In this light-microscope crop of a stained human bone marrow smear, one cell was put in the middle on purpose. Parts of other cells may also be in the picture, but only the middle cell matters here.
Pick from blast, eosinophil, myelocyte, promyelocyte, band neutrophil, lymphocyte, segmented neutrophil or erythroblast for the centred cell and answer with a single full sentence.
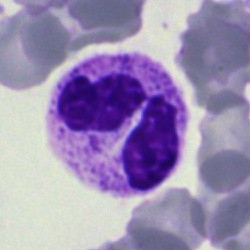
At the crop's centre, the cell is a segmented neutrophil.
